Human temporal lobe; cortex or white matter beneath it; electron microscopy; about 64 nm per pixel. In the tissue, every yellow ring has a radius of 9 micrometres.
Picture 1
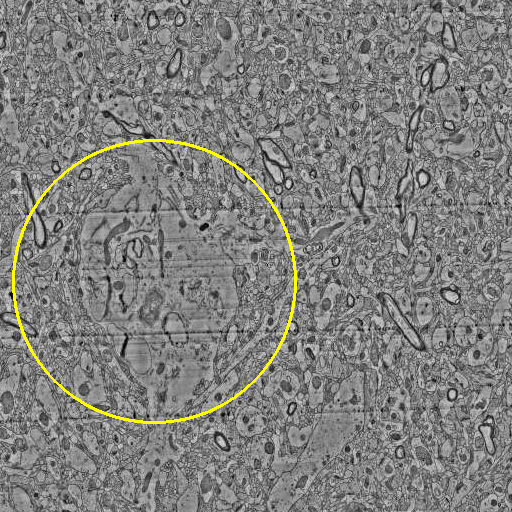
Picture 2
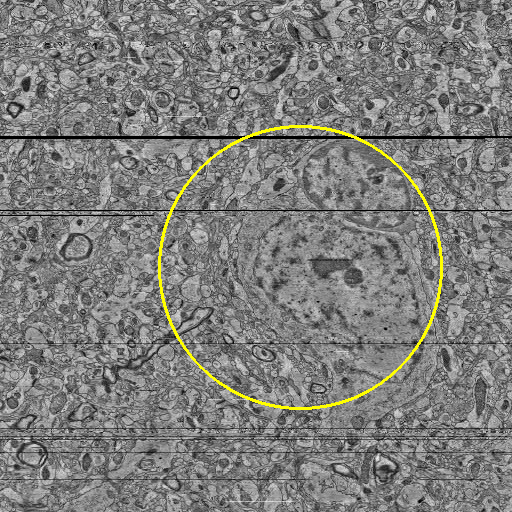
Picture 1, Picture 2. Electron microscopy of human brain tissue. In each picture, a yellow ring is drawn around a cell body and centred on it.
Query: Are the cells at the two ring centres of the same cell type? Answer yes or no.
no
